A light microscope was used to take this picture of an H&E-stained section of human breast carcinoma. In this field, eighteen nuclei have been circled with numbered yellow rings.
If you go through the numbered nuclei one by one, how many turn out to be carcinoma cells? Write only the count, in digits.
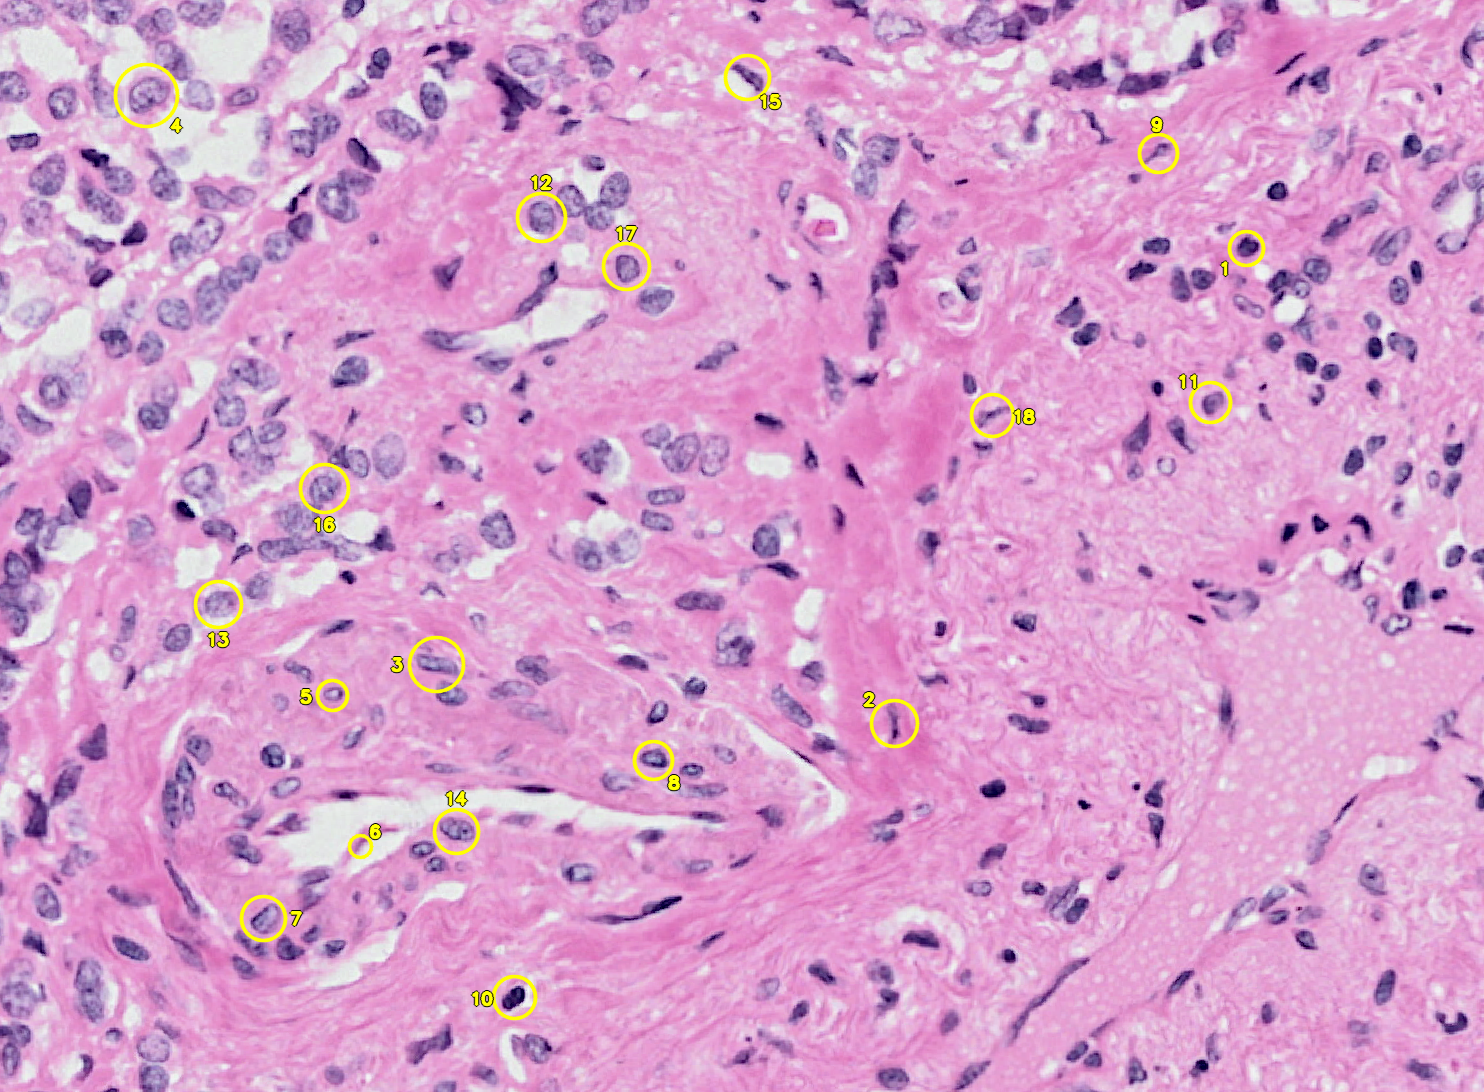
5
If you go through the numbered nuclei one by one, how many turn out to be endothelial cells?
6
